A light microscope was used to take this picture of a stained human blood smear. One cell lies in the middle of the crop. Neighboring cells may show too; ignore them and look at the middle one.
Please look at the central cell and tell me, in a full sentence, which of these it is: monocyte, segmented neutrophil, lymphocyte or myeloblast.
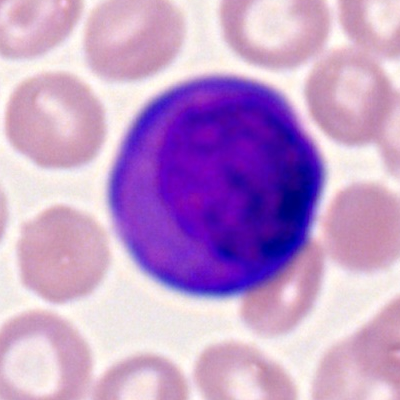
The cell in the middle of this crop is a myeloblast.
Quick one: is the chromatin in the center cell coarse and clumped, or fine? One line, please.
Chromatin in the nucleus here is coarsely clumped.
